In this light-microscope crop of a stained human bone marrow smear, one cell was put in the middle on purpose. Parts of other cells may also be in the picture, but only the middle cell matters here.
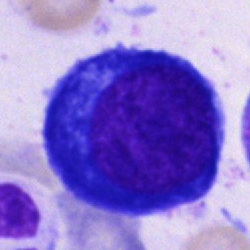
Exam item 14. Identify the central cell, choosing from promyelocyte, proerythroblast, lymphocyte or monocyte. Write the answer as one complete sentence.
The cell at the central position in this crop is a proerythroblast.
